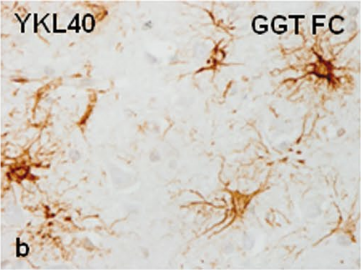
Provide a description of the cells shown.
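Cortical astrocytes stand out as dark brown, star-shaped cells scattered through a pale grey-blue neuropil. Each cell has a compact, densely stained body from which numerous thick primary processes branch into finer ones, giving a bushy outline. Several of these cells lie spaced apart across the field, their processes reaching toward one another. Between them, faint pale nuclei of other cells are visible against the lightly counterstained background, and some small clear spaces lie in the tissue. The stain is strong and fills both the cell bodies and their branches, so the full shape of each astrocyte can be traced.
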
